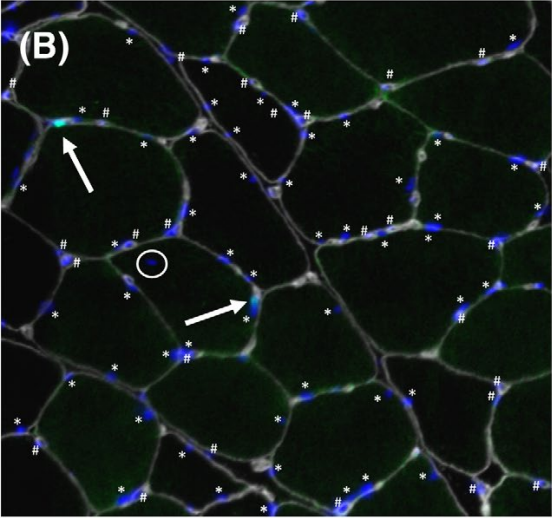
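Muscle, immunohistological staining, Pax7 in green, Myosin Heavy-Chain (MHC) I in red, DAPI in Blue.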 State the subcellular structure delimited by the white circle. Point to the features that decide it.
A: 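The circled blue nucleus lies well inside a fiber, away from its grey outline.
Hence: central myonucleus.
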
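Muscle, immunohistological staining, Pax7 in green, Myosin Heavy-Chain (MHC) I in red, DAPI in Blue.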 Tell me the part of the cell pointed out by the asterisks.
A: A myonucleus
